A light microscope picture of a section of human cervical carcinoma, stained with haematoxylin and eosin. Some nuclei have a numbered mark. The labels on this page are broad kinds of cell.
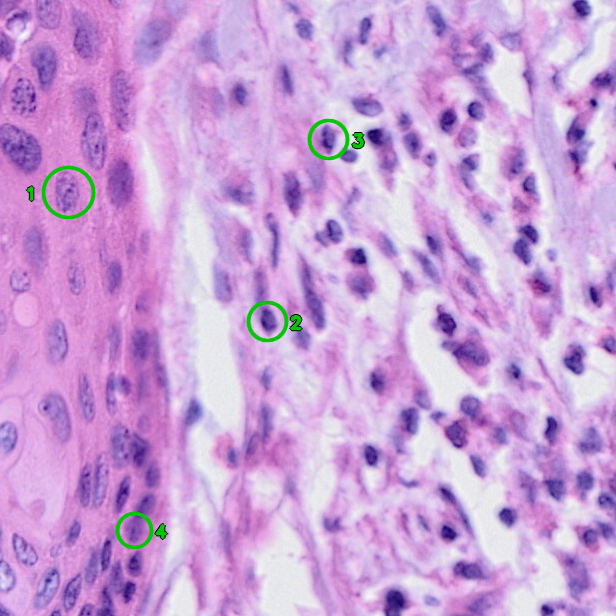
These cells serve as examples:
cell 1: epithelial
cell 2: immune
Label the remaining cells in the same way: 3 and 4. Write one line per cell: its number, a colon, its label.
3: immune
4: epithelial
